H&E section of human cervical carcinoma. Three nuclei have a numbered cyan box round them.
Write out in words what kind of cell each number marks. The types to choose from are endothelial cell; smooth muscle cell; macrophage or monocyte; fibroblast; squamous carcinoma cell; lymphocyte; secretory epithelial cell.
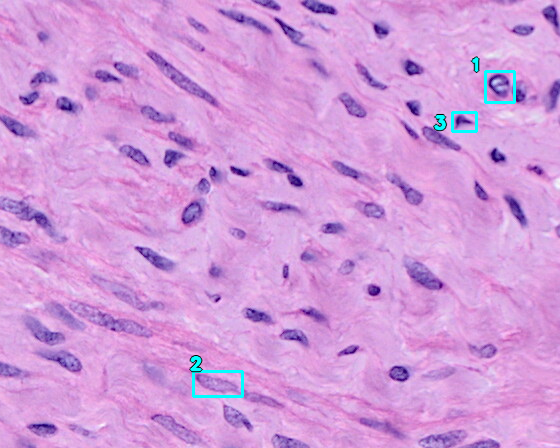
Cell 1 is an endothelial cell. Cell 2 is a smooth muscle cell. Cell 3 is a fibroblast.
